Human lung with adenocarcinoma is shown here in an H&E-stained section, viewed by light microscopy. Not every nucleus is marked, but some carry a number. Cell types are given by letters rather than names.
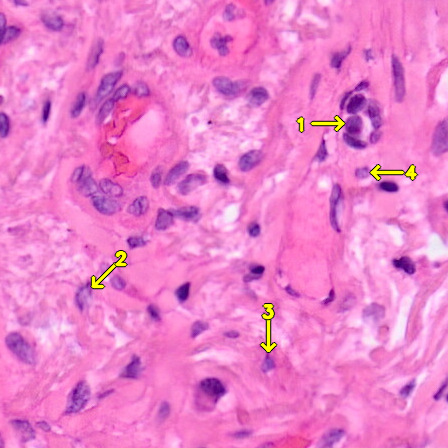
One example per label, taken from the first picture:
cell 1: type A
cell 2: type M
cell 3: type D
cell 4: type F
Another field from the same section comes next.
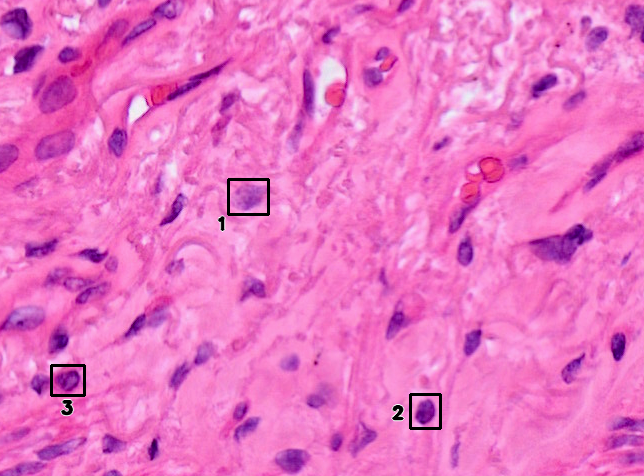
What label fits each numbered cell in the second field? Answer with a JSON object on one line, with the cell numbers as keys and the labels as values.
{"1": "type M", "2": "type A", "3": "type F"}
